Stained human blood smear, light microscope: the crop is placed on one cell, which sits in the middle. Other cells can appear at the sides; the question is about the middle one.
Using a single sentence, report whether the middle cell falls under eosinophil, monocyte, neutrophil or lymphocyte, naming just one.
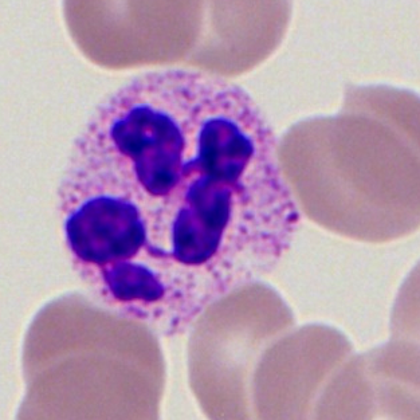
Present in the middle of the crop is a neutrophil.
